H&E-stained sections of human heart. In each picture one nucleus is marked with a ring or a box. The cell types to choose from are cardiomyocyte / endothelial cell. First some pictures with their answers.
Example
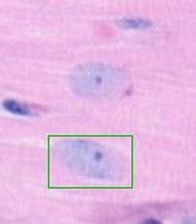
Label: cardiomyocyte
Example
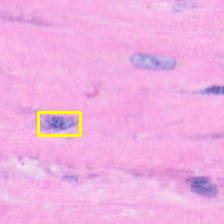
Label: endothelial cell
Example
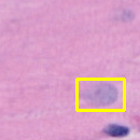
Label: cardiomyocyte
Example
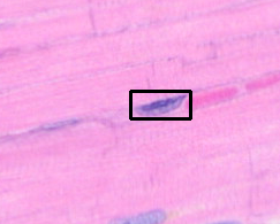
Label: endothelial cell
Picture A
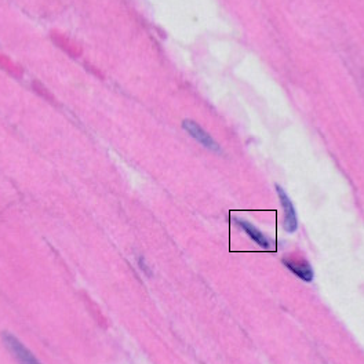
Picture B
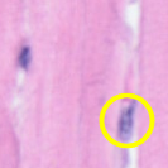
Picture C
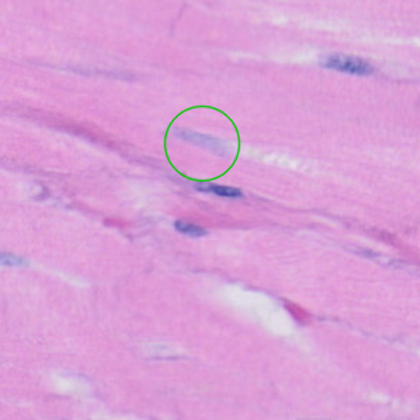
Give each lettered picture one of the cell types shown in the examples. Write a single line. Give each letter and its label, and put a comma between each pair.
A endothelial cell, B endothelial cell, C cardiomyocyte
